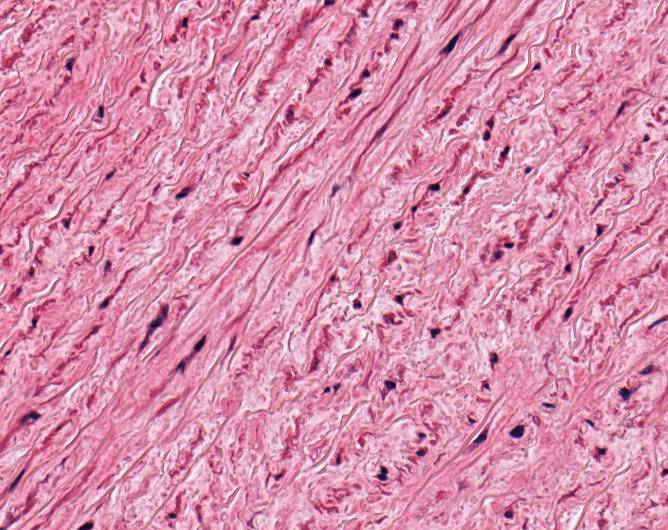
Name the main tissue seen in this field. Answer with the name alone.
tunica media of an artery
